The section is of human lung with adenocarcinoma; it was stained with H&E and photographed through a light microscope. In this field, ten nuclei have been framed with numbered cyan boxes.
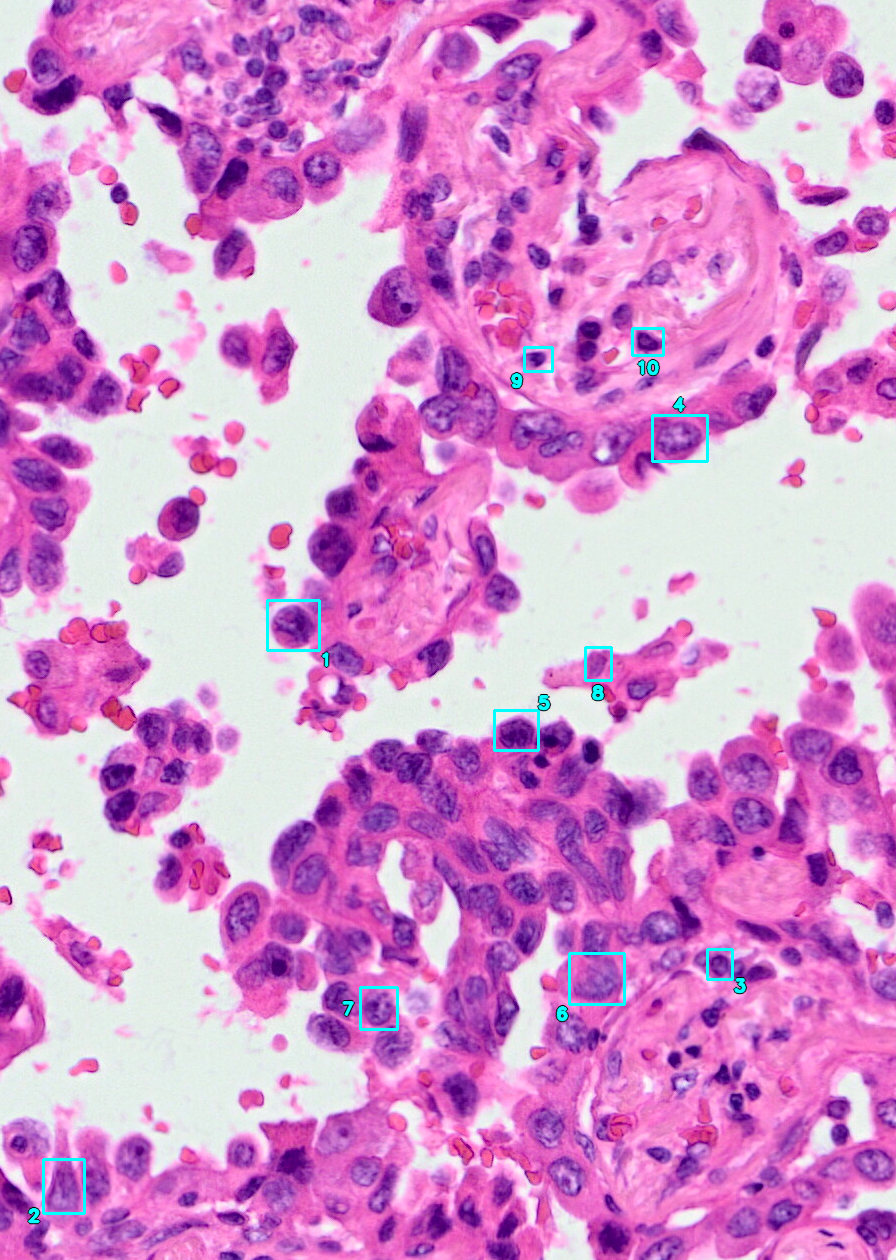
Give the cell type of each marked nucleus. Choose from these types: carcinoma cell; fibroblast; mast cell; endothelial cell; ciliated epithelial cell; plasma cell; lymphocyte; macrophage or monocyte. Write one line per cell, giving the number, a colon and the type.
1: carcinoma cell
2: carcinoma cell
3: plasma cell
4: carcinoma cell
5: carcinoma cell
6: carcinoma cell
7: carcinoma cell
8: macrophage or monocyte
9: lymphocyte
10: plasma cell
